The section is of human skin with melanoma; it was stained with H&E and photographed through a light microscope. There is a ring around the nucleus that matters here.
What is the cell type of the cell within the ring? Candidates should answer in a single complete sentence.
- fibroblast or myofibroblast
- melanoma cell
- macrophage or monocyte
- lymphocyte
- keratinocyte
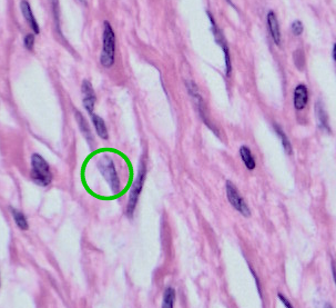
Assigned to a cell type, the cell within the ring is a fibroblast or myofibroblast.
